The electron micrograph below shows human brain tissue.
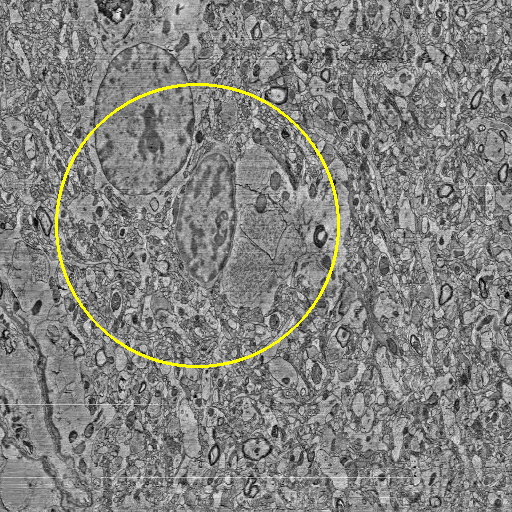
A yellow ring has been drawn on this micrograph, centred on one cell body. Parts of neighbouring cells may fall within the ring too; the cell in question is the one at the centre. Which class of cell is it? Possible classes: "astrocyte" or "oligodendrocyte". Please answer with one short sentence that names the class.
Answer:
In the centre of the ring sits an oligodendrocyte.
